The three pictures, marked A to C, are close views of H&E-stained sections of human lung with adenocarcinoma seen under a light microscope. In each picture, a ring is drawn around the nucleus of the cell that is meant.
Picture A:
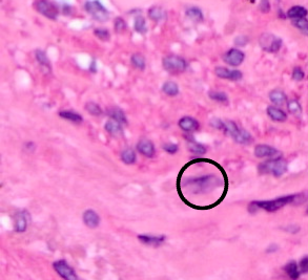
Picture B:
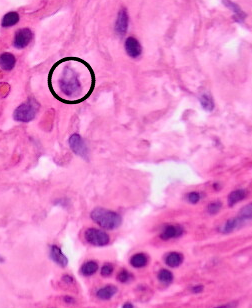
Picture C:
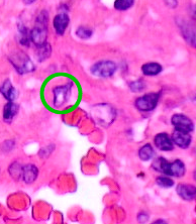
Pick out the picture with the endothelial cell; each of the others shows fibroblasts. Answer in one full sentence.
Picture C shows the endothelial cell.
